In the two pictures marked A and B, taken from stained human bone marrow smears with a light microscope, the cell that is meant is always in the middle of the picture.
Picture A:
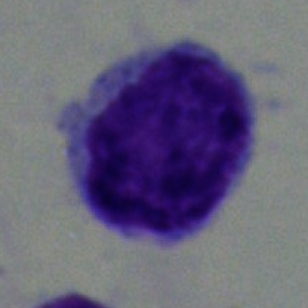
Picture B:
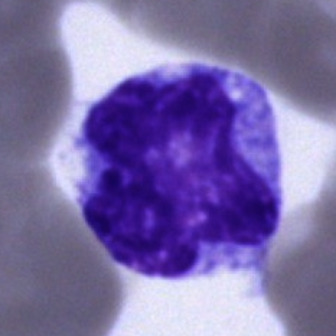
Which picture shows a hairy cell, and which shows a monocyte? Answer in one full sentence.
It is picture A that shows a hairy cell, and picture B that shows a monocyte.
